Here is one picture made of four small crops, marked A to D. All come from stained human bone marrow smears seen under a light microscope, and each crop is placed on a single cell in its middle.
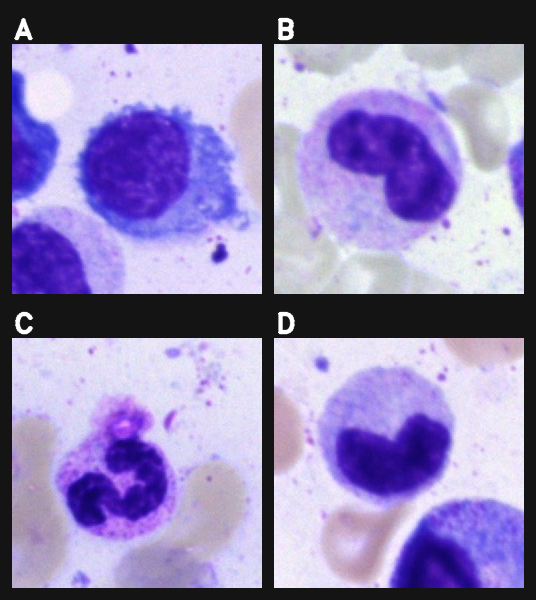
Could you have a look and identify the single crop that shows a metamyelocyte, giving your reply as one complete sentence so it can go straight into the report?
It is in crop D, among all the crops, that a metamyelocyte is present.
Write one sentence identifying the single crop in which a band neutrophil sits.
Crop B is the correct crop, and it shows a band neutrophil.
